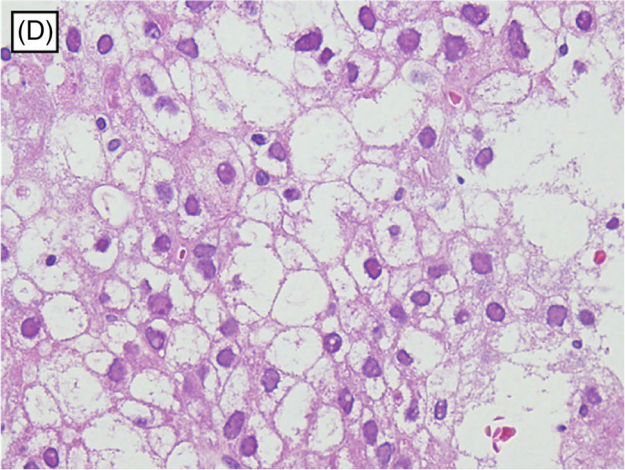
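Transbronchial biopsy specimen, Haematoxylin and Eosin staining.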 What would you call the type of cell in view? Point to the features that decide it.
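Large polygonal cells with round, dark purple nuclei of varying size. The cytoplasm is abundant, pale and vacuolated, with pink strands. On this evidence: atypical cells.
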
